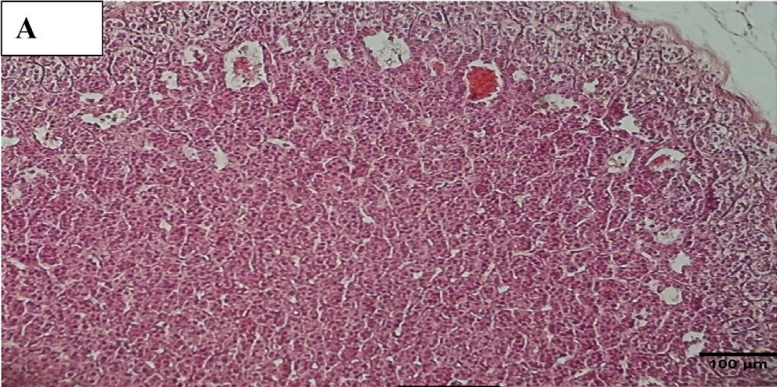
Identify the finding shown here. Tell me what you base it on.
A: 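Many irregular clear spaces lie between the cords of cells. One widened vessel near the capsule is filled with red blood cells.
Dilation in sinusoids.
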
